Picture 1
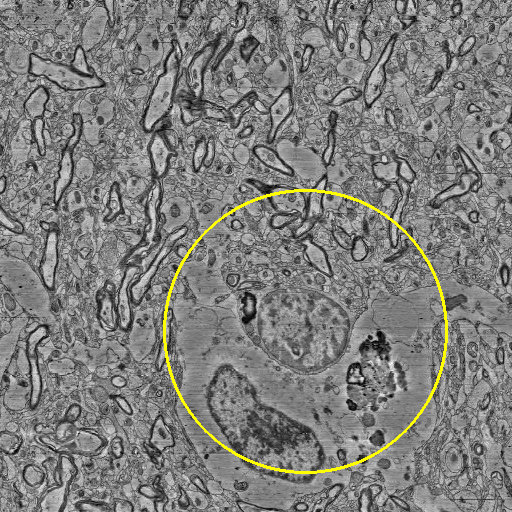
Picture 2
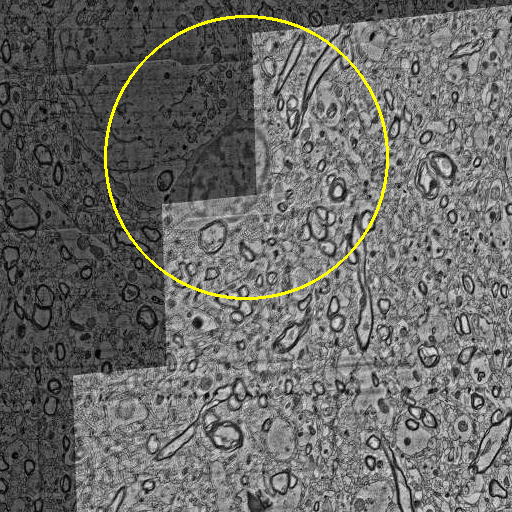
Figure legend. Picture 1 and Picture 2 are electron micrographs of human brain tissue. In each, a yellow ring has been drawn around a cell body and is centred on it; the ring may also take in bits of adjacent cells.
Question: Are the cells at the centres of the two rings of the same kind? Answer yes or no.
yes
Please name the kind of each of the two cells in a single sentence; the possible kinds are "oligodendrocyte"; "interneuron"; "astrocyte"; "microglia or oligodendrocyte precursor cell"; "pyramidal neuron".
In each picture the ringed cell is an oligodendrocyte.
